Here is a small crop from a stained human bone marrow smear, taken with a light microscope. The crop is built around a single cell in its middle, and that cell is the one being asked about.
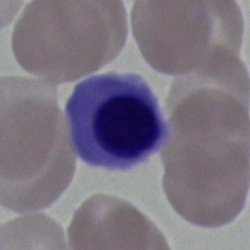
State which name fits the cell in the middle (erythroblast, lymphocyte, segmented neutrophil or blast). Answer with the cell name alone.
erythroblast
